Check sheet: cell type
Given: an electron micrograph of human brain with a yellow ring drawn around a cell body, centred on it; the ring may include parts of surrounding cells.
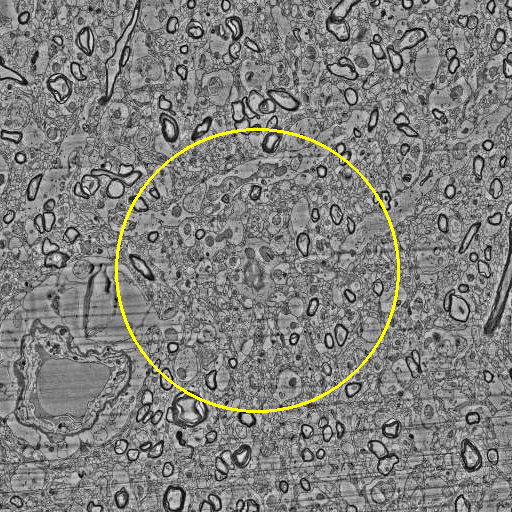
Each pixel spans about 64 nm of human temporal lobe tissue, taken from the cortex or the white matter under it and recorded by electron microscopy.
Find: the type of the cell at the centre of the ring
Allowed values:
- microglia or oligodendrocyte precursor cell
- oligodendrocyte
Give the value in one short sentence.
Here the ringed cell is an oligodendrocyte.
